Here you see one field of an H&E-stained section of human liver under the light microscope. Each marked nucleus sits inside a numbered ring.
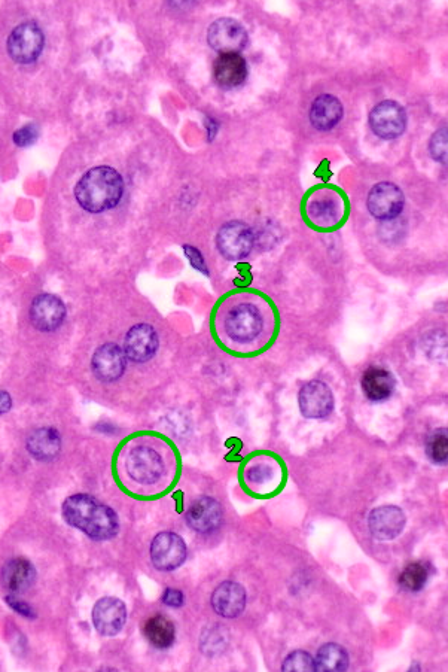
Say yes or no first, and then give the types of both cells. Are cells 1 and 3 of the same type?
Yes, cells 1 and 3 are alike in being hepatocytes.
